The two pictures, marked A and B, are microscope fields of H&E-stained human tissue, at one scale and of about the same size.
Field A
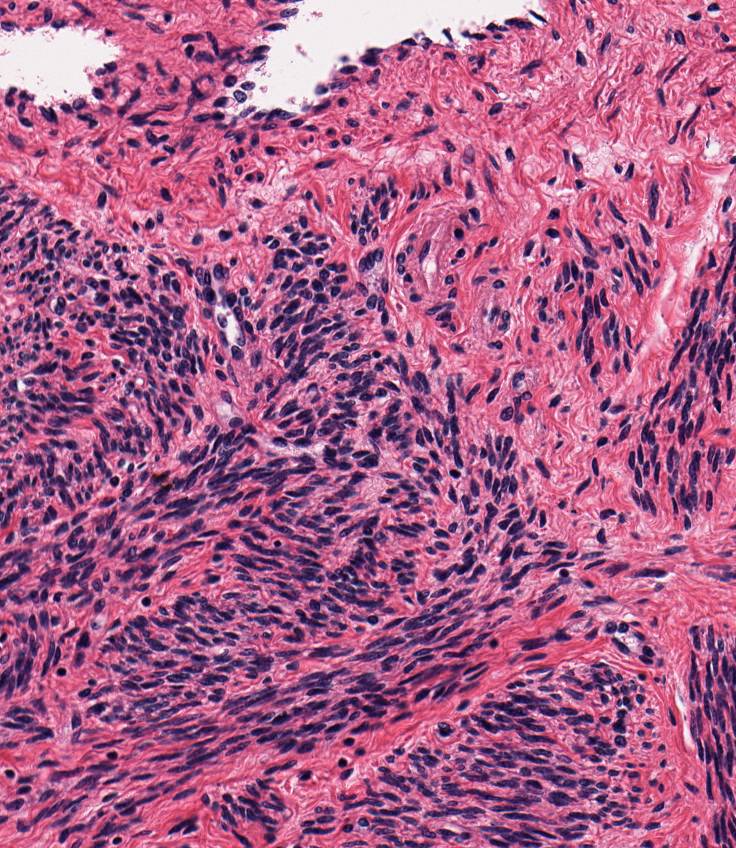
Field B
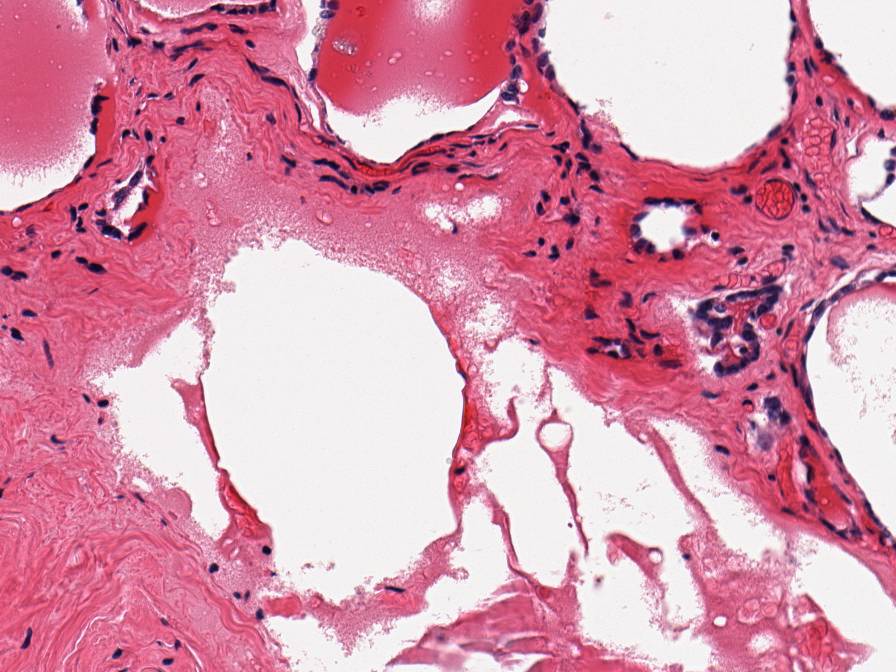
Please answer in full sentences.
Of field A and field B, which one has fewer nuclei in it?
Fewer nuclei lie in field B than in field A.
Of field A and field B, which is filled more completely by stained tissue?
Less of field A is empty and white.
